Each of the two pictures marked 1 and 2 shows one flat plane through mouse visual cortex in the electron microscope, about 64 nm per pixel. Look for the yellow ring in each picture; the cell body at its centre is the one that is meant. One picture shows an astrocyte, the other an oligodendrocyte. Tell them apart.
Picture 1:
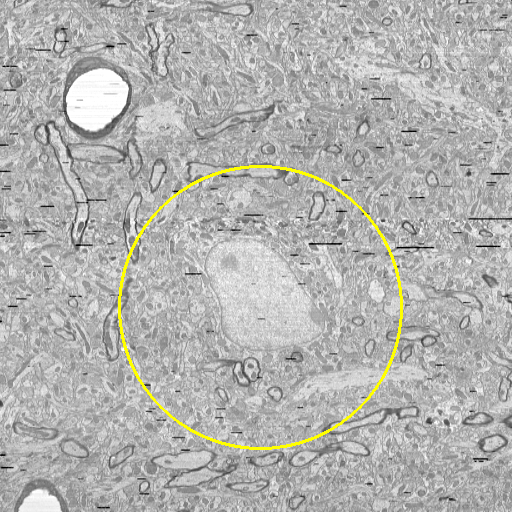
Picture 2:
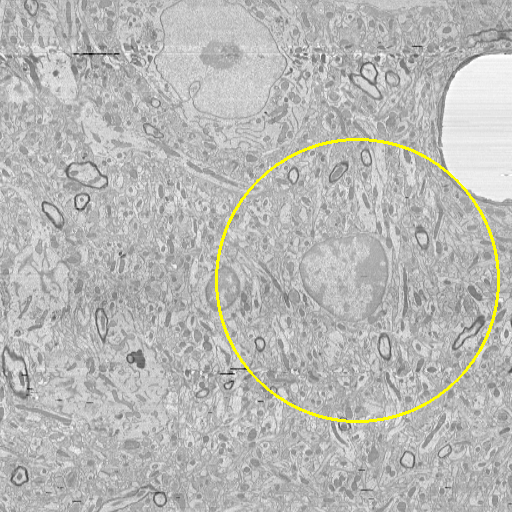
The cell in picture 1 is an astrocyte, and the one in picture 2 is an oligodendrocyte.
